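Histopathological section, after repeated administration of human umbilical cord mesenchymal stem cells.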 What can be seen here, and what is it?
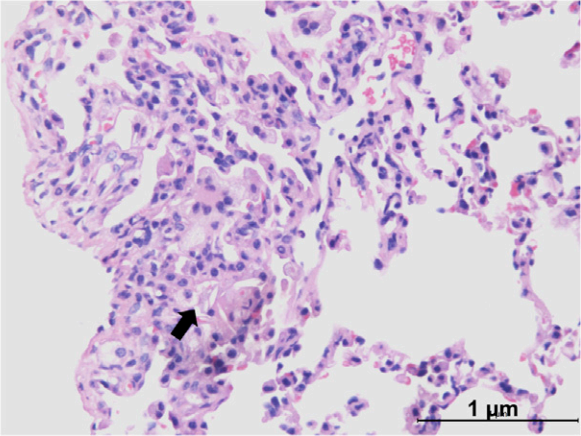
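Lung tissue in which alveolar walls are thickened and crowded with many dark purple nuclei, so that air spaces are narrowed and irregular. In the lower left a dense, solid cluster of cells fills part of the parenchyma; among these lie cells with abundant pale, vacuolated pink cytoplasm, consistent with foamy cells. Scattered red blood cells appear within septal capillaries at the upper right. Toward the right and lower edge, alveolar septa are thinner, yet still more cellular than normal lung, with open clear air spaces between them.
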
